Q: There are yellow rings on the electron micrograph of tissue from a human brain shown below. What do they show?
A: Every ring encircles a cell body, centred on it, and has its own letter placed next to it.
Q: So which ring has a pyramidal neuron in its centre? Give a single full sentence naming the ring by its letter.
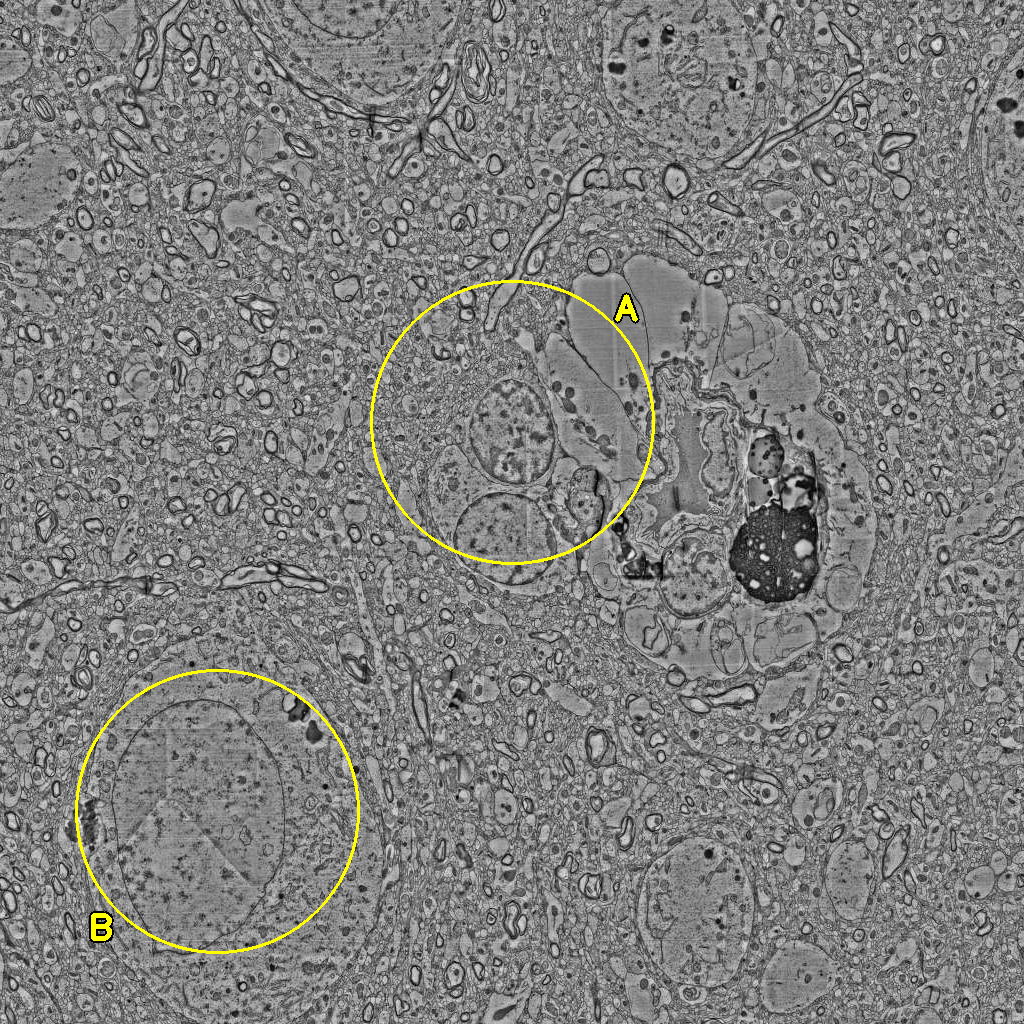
Ring B has the cell asked for at its centre in the picture.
